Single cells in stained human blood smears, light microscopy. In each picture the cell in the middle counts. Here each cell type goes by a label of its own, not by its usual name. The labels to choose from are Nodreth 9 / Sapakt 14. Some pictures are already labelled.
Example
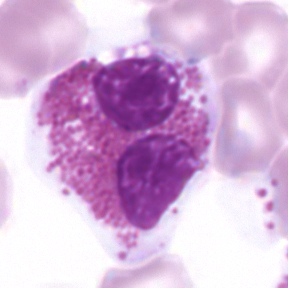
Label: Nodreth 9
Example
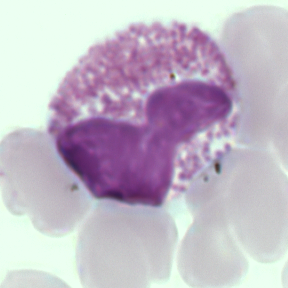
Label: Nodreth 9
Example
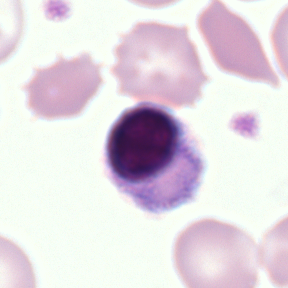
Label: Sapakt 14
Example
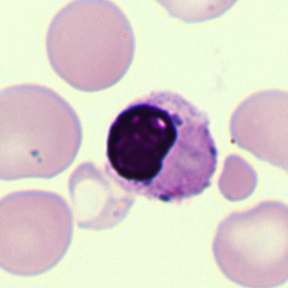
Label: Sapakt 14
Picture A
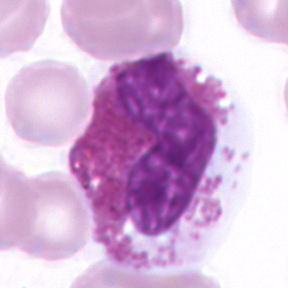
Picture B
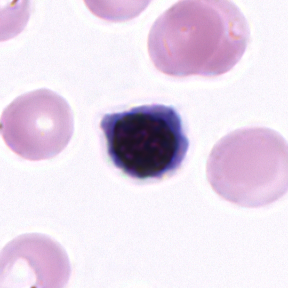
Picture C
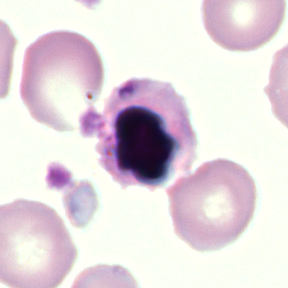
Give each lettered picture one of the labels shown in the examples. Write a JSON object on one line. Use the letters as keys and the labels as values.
{"A": "Nodreth 9", "B": "Sapakt 14", "C": "Sapakt 14"}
